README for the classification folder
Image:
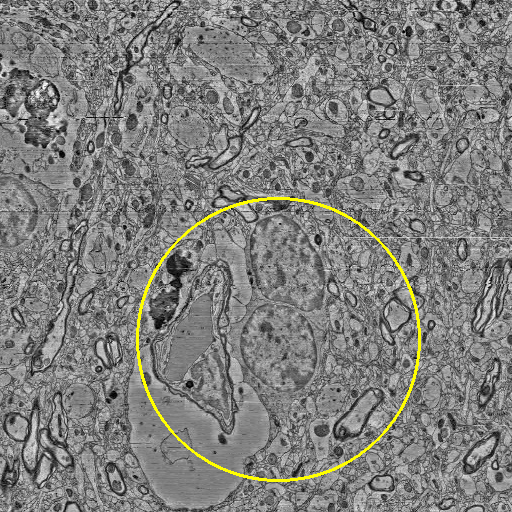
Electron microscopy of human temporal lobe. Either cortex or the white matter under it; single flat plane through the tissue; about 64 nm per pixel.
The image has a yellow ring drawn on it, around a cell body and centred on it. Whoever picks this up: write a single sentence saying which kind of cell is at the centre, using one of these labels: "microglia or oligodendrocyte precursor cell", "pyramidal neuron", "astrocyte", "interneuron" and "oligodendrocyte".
This cell body is that of an oligodendrocyte.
